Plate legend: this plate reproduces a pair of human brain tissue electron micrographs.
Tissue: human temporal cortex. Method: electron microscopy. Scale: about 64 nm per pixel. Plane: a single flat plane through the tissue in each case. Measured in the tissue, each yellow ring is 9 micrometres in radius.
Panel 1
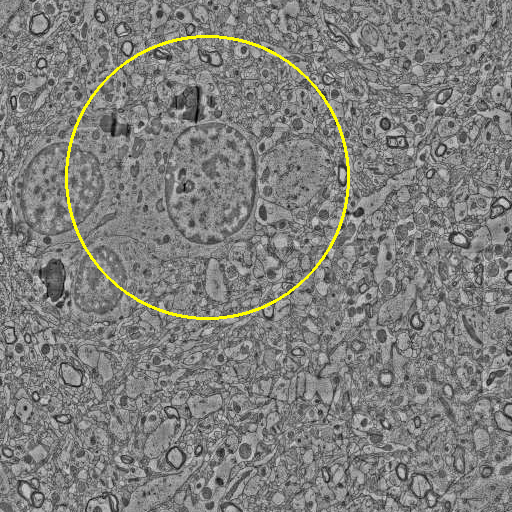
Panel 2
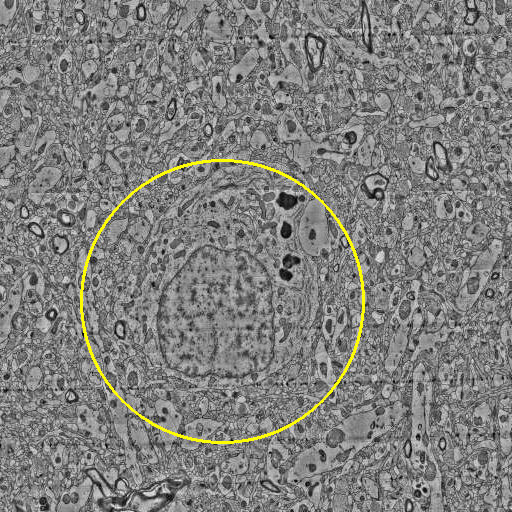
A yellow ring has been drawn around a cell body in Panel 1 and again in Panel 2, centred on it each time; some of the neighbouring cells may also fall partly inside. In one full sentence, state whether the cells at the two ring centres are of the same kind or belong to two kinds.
The ring-centred cells of Panel 1 and Panel 2 belong to two kinds.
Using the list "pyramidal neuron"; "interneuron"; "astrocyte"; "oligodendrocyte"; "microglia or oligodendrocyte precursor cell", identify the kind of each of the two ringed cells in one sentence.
The first is an oligodendrocyte and the second is an interneuron.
